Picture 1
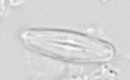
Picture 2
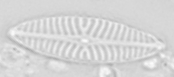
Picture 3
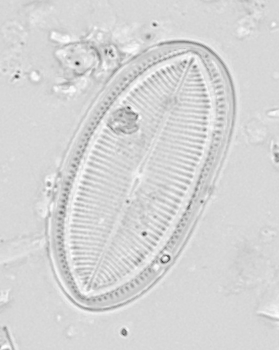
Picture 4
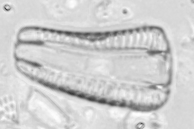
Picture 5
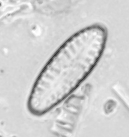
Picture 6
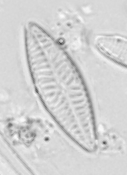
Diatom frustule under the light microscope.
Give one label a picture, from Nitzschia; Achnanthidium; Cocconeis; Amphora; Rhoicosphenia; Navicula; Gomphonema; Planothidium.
(1) Achnanthidium
(2) Navicula
(3) Cocconeis
(4) Rhoicosphenia
(5) Gomphonema
(6) Navicula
